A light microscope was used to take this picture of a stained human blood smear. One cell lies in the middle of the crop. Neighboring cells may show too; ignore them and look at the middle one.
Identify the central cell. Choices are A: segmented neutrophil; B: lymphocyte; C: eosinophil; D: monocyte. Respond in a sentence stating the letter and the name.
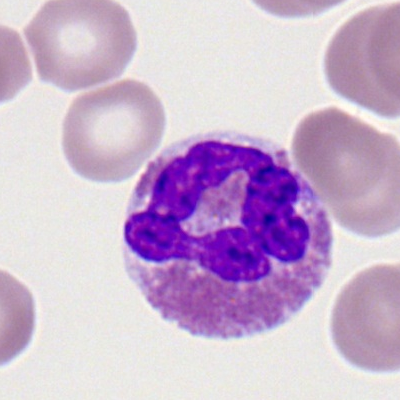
Of the choices given, option C is right, as the central cell is an eosinophil.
